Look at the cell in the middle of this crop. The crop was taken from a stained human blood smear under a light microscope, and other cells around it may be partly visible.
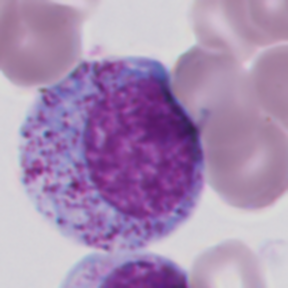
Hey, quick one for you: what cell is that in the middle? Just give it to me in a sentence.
The cell positioned in the middle of the field is a promyelocyte.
